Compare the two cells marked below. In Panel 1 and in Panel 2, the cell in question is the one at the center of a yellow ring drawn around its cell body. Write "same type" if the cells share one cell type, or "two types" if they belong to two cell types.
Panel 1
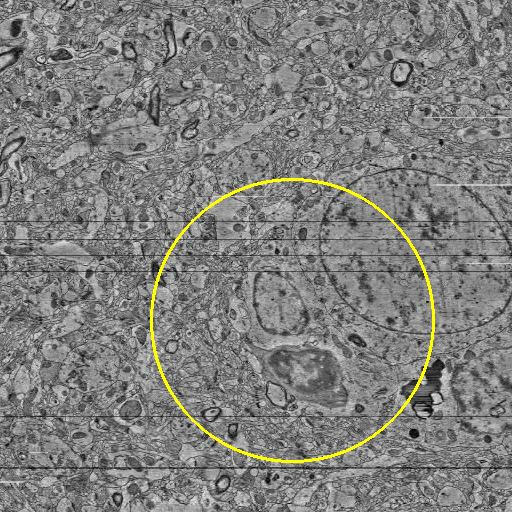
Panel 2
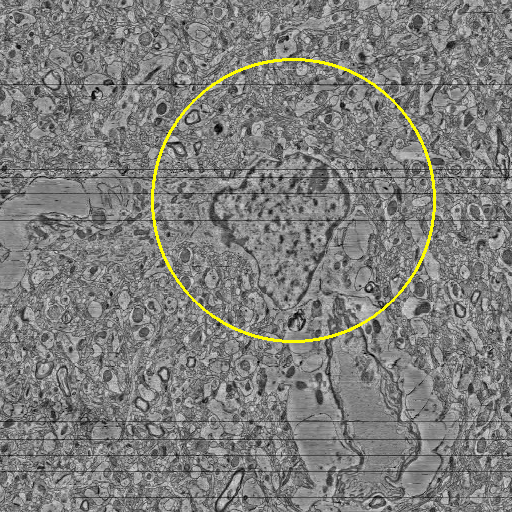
same type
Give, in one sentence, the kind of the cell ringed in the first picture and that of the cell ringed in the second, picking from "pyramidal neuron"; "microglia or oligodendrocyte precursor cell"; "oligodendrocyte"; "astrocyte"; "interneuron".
In each of the two pictures, the ringed cell is a microglial cell or oligodendrocyte precursor cell.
